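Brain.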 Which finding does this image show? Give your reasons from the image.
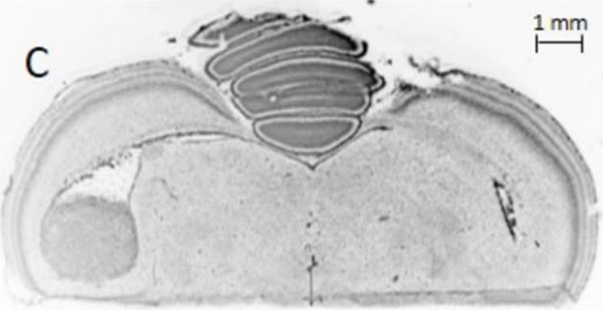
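Tumours. A round, sharply set-off mass of denser, more evenly textured tissue lies in the lower left part of the section. The mass sits beside a cleft-like space and differs in texture from the surrounding brain tissue.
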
